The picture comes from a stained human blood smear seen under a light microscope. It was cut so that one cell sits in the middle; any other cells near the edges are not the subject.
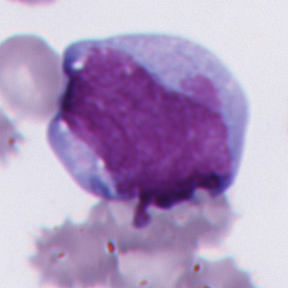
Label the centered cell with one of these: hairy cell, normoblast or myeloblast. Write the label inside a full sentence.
To answer, the cell in the center of the crop is a myeloblast.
